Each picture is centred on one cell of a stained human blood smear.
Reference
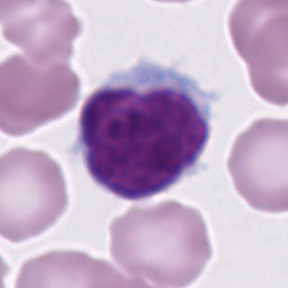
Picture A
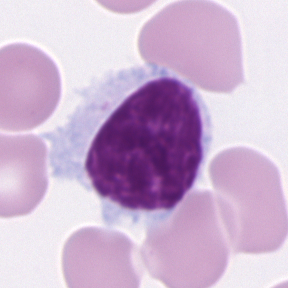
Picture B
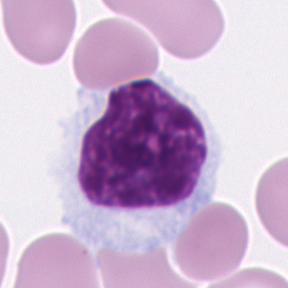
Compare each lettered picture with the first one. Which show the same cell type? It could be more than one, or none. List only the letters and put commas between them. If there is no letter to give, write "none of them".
A, B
